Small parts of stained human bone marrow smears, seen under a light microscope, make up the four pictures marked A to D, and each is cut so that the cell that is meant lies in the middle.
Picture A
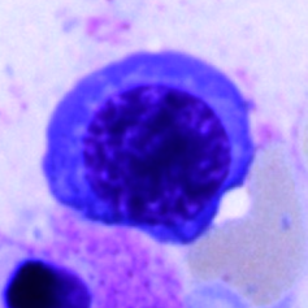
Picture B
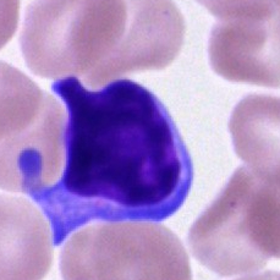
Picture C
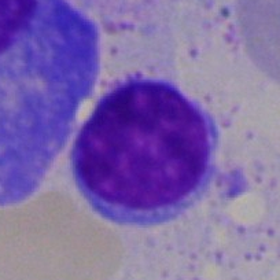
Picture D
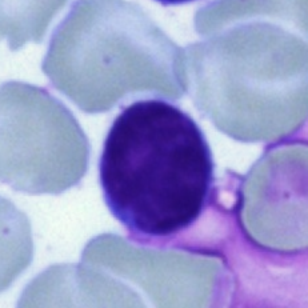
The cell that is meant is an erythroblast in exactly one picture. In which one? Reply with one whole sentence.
It is picture A that shows the erythroblast.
